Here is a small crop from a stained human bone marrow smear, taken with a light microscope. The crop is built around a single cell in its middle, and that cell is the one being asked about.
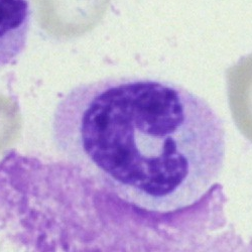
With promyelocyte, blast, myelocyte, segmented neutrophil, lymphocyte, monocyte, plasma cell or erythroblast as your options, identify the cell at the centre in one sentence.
Occupying the centre of the crop is a segmented neutrophil.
